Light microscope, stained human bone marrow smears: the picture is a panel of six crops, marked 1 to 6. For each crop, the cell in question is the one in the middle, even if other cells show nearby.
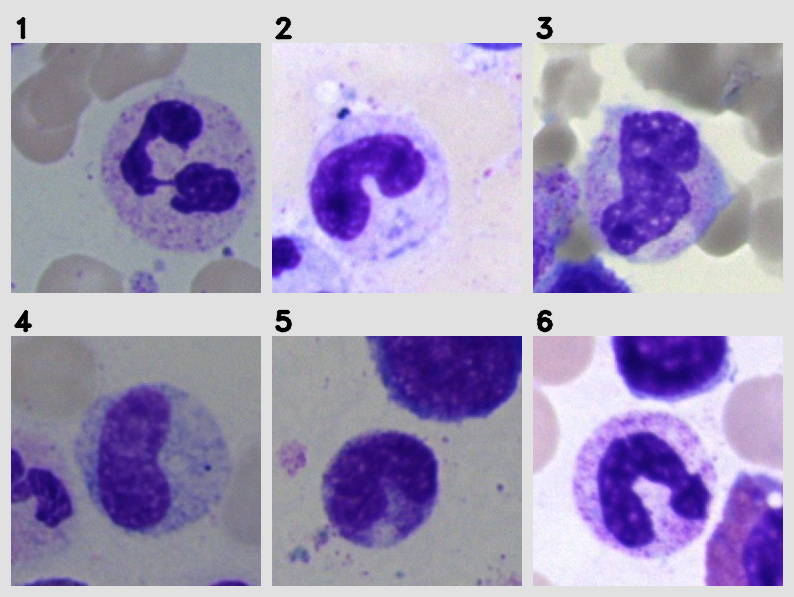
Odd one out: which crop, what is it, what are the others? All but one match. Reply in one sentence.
Crop 1, showing a segmented neutrophil, is the exception; the others all show band neutrophils.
